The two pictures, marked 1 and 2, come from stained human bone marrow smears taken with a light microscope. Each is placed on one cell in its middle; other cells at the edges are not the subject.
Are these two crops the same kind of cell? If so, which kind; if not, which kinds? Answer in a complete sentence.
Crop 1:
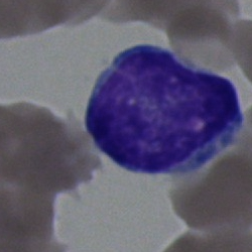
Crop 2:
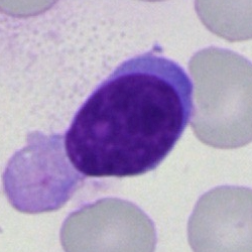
No, crop 1 and crop 2 contain, respectively, a blast and a lymphocyte.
